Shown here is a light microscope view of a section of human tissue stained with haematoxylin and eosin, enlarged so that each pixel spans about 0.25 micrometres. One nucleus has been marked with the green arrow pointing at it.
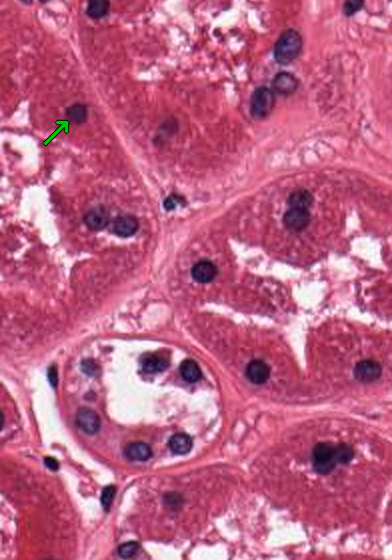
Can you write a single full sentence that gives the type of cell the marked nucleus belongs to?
As shown here, the nucleus that is marked is that of a proximal tubule cell.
